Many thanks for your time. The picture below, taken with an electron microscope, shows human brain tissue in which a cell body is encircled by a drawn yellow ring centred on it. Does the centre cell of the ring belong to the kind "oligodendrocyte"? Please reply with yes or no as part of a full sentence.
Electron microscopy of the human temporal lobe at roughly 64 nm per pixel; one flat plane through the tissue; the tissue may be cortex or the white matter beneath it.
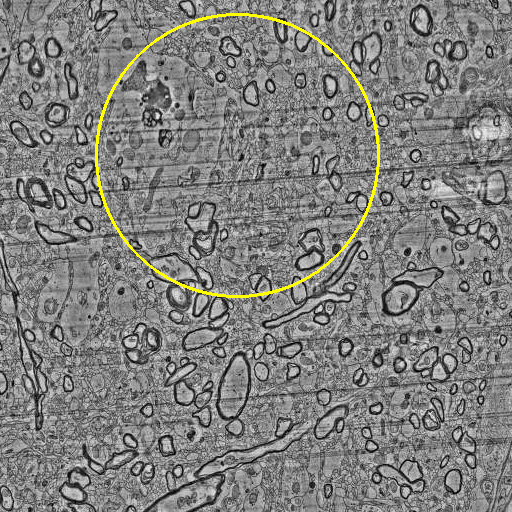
Yes, in the picture the cell at the ring's centre is of the kind you named.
